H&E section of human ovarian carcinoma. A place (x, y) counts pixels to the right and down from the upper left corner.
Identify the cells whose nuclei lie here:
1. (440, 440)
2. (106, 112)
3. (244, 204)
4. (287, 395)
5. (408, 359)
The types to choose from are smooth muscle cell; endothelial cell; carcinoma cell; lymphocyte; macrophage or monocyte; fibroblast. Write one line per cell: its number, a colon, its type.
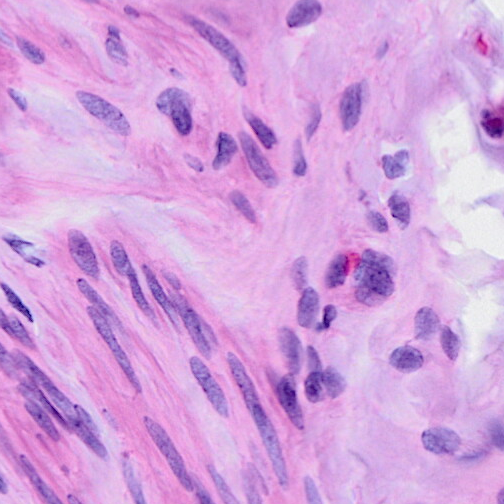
1: fibroblast
2: smooth muscle cell
3: smooth muscle cell
4: smooth muscle cell
5: fibroblast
